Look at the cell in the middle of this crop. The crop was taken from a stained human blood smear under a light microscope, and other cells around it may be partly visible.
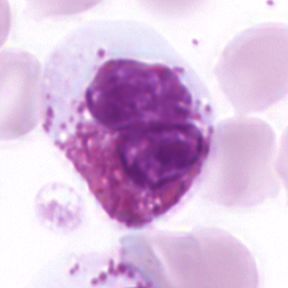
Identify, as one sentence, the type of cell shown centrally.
Regarding the central cell, it is an eosinophil.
